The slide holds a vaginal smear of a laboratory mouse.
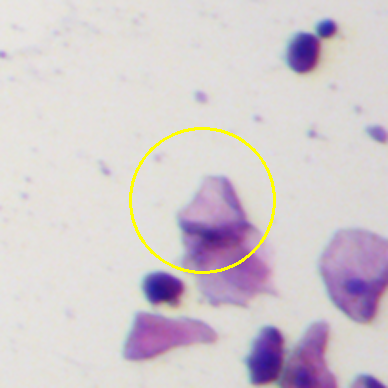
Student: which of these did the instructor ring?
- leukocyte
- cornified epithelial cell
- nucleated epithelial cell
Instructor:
The cell I ringed is a cornified epithelial cell.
